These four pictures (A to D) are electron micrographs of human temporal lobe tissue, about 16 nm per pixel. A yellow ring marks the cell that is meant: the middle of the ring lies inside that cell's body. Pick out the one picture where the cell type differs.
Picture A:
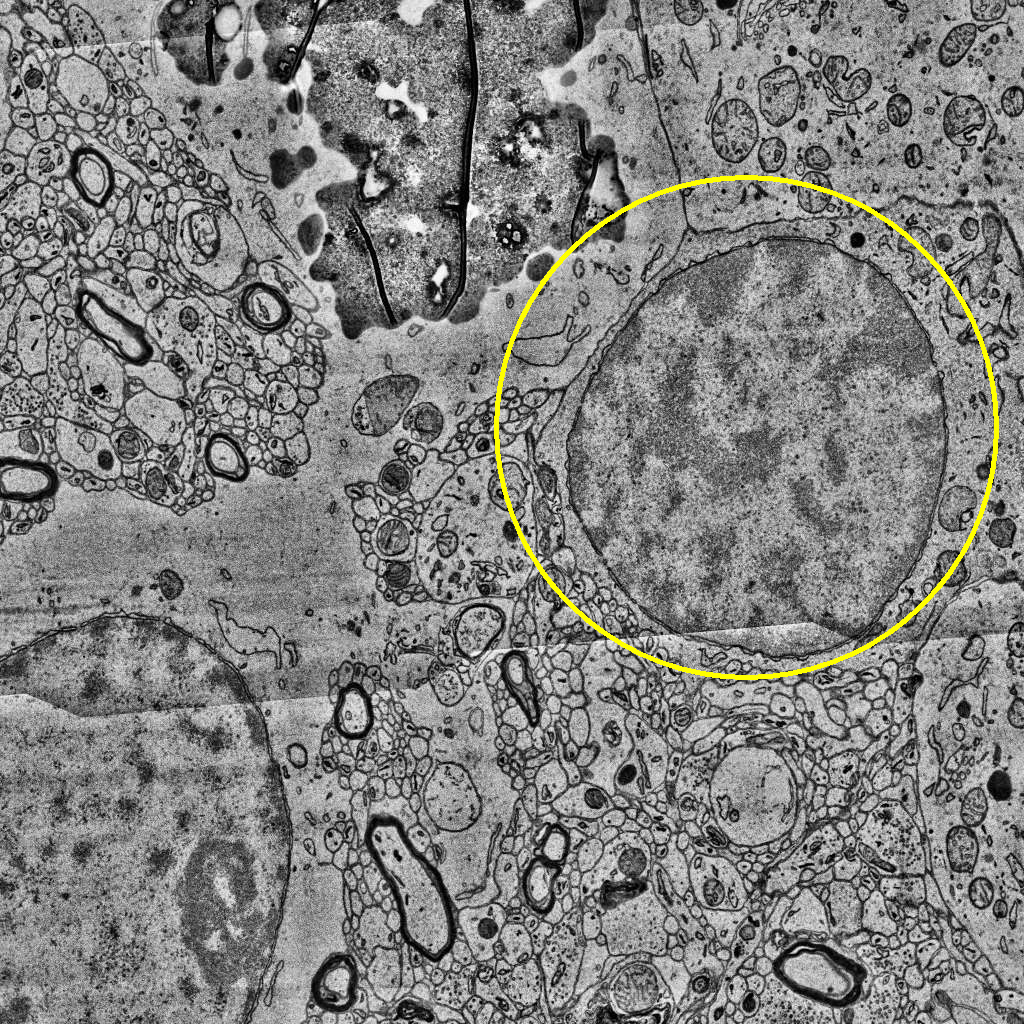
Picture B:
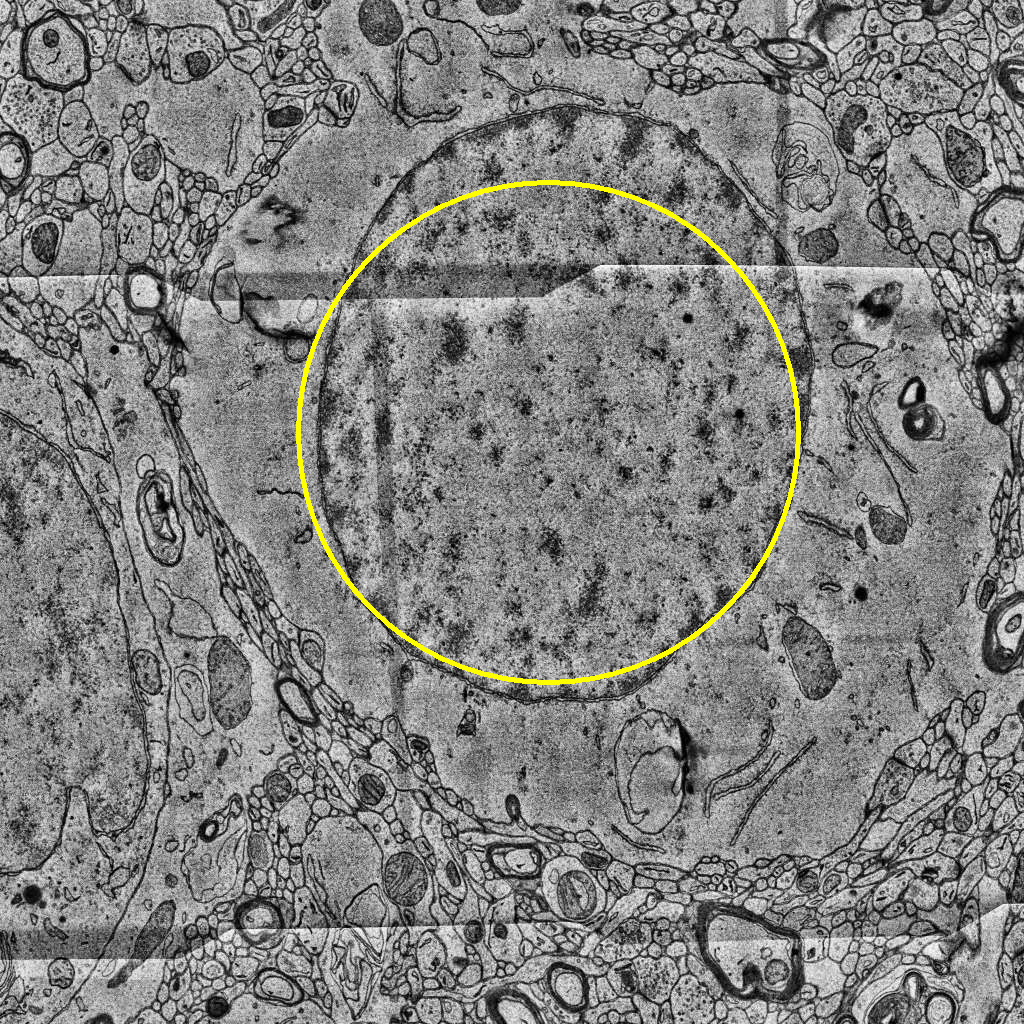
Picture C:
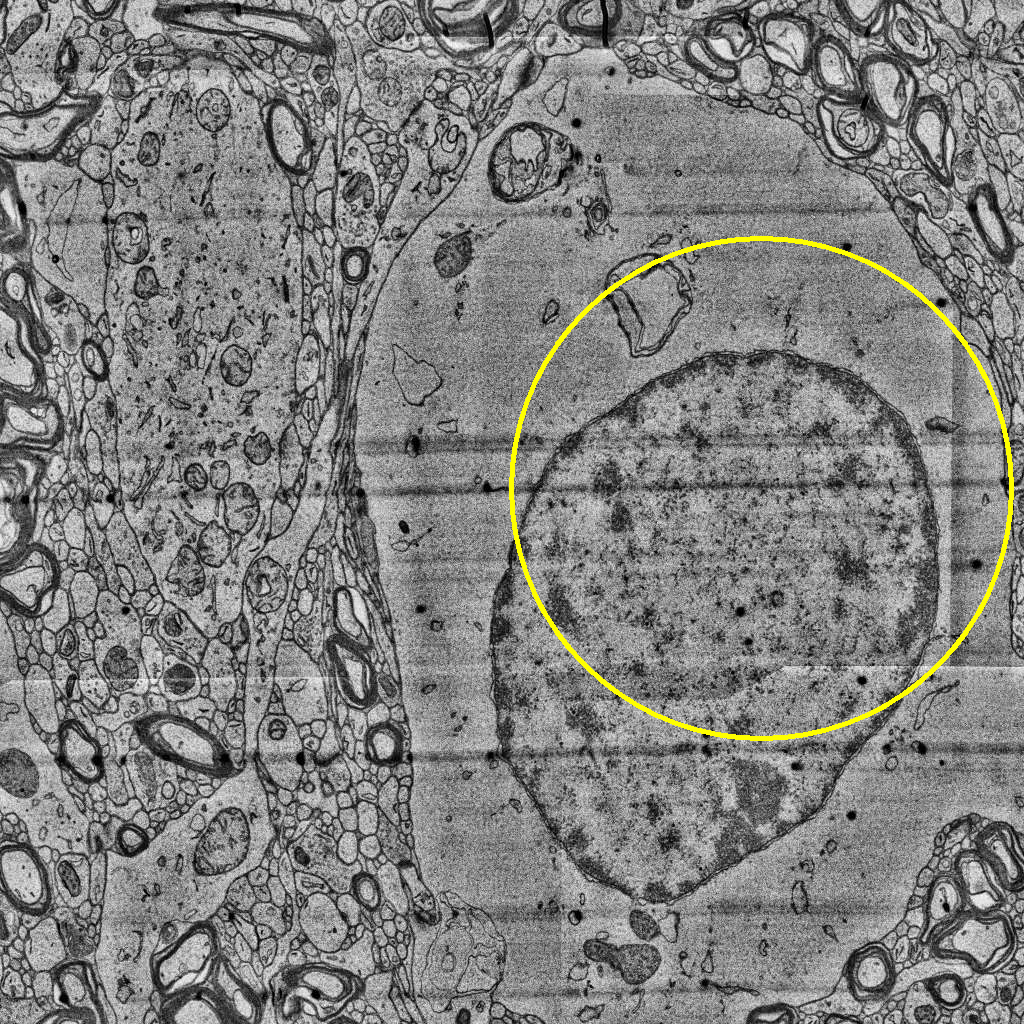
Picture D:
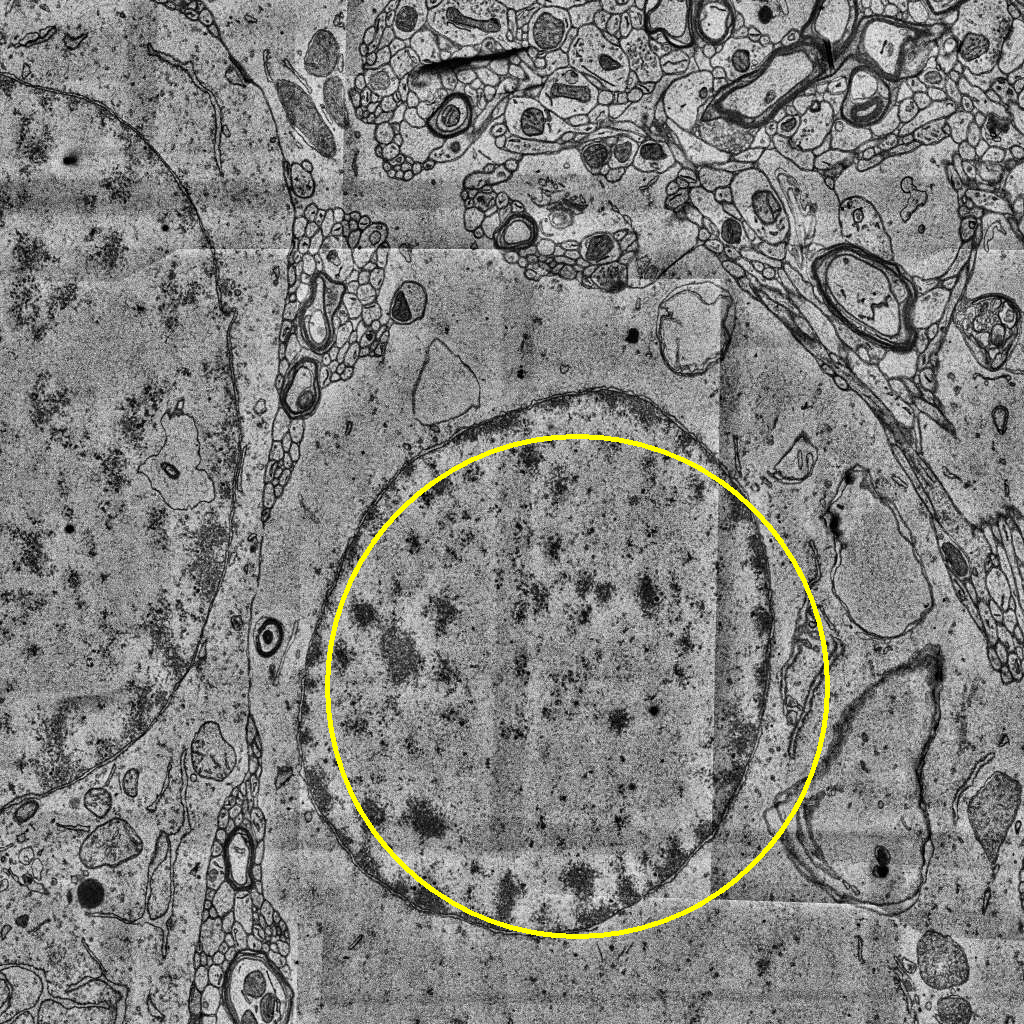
The different one is picture A; it shows an oligodendrocyte, whereas all the others show astrocytes.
